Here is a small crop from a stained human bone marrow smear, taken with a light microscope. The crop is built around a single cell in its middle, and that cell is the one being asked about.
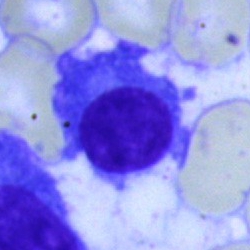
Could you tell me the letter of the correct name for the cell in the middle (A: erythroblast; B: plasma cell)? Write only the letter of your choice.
B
